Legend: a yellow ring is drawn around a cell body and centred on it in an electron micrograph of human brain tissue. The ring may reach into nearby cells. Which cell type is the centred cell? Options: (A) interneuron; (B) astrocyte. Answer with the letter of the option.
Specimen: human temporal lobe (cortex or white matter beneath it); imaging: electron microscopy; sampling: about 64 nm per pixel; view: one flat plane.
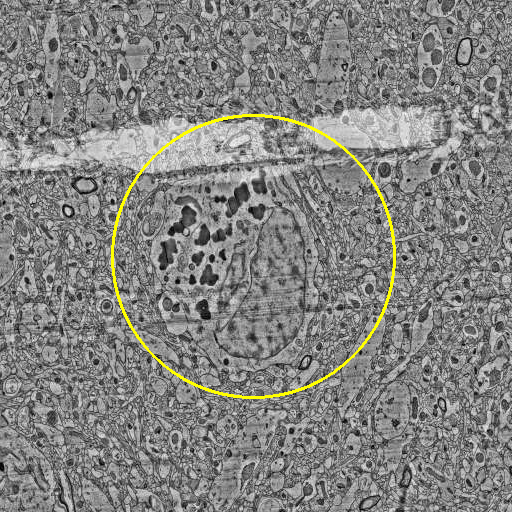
A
